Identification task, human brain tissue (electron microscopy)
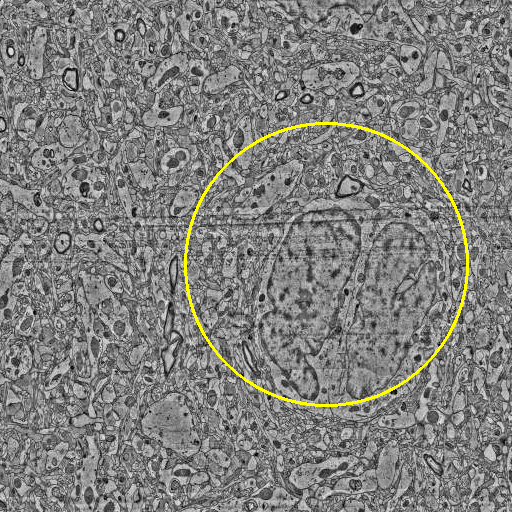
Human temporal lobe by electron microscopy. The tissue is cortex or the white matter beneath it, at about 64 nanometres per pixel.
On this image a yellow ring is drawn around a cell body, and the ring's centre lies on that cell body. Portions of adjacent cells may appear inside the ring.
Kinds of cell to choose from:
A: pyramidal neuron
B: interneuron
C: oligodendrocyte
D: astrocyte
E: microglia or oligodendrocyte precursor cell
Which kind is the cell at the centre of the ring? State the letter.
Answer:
E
